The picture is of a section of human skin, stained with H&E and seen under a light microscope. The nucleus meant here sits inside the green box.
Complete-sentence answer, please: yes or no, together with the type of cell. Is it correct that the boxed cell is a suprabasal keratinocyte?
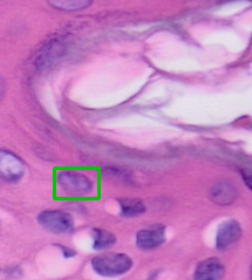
Yes, the naming of the boxed cell as a suprabasal keratinocyte is correct.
